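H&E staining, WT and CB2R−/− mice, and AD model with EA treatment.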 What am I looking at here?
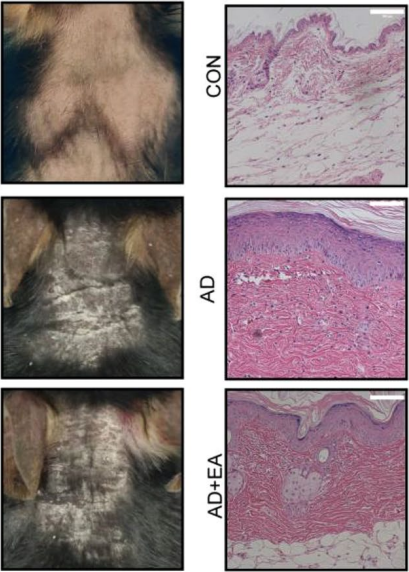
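Nuclei stain purple-blue and the connective tissue stains pink. In the top pair the epidermis is a thin, wavy band only a few cells thick. Beneath it lies loose, pale dermis, with some white fat spaces. In the lower rows the epidermis is much thicker. The dermis beneath is denser and pinker, with closely packed collagen bundles and scattered nuclei.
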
